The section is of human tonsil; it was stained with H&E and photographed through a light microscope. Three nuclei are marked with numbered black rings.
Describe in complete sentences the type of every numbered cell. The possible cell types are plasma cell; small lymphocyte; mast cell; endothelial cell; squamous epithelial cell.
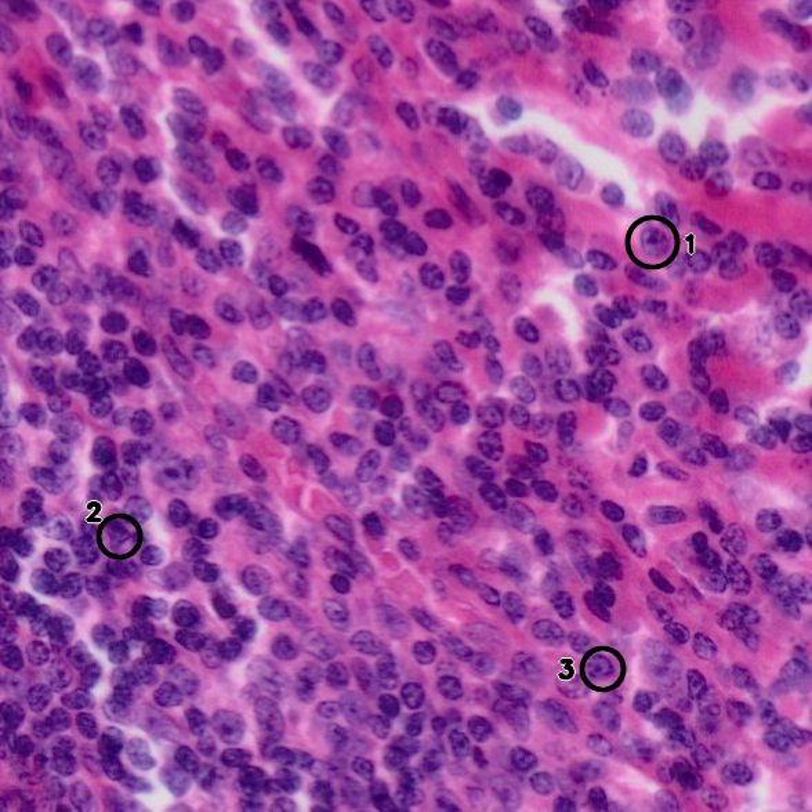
Cell 1 is a plasma cell, cell 2 is a small lymphocyte and cell 3 is a plasma cell.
